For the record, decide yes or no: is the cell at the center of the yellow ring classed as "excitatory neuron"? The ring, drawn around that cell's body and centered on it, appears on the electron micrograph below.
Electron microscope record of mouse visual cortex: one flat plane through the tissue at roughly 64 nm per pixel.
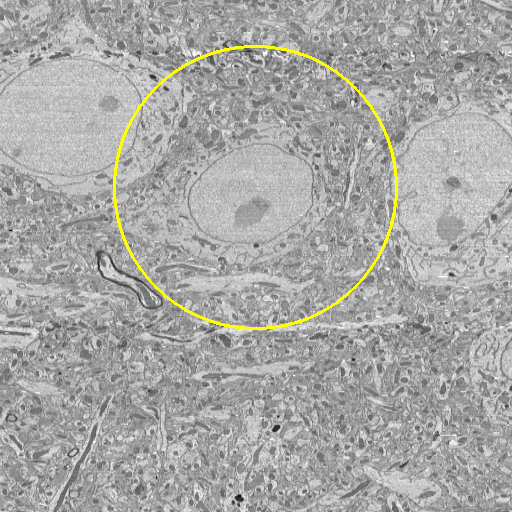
yes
